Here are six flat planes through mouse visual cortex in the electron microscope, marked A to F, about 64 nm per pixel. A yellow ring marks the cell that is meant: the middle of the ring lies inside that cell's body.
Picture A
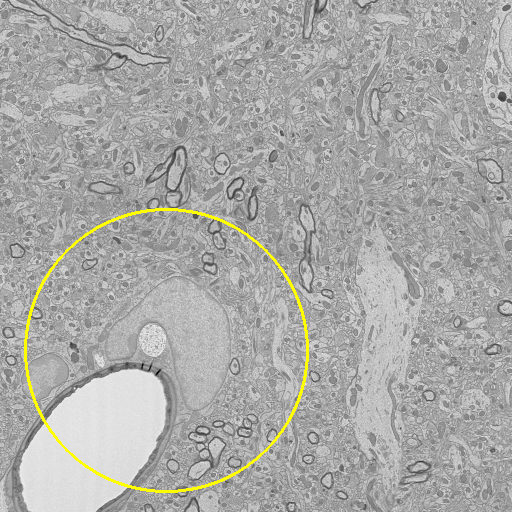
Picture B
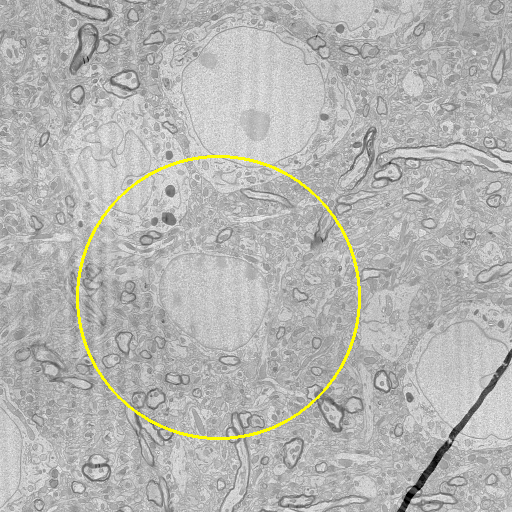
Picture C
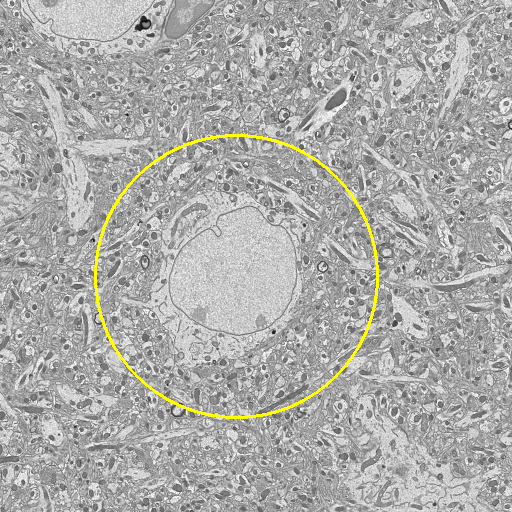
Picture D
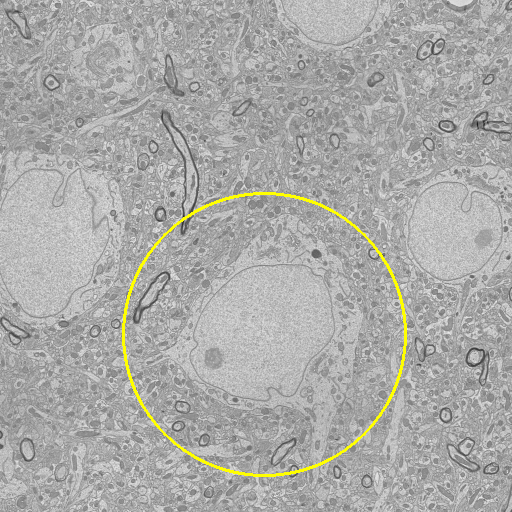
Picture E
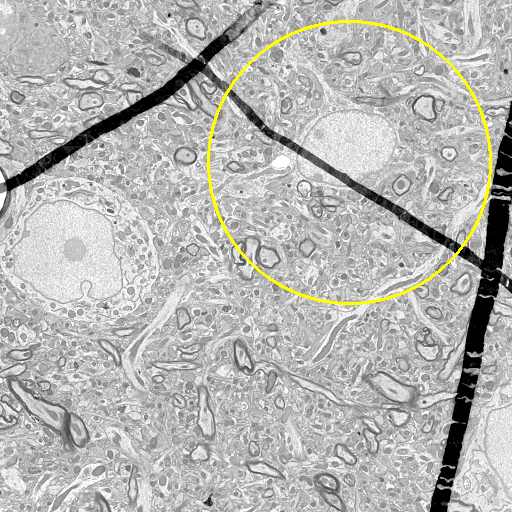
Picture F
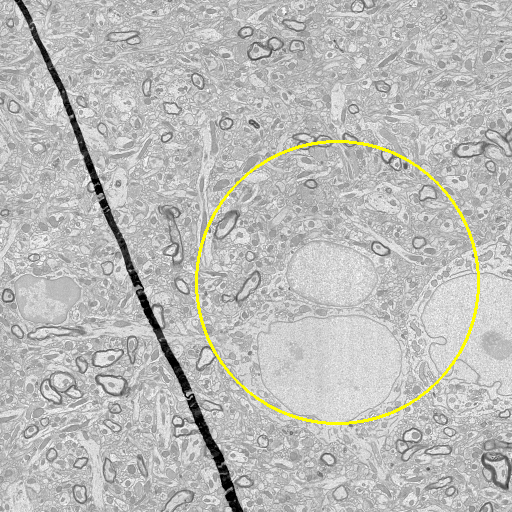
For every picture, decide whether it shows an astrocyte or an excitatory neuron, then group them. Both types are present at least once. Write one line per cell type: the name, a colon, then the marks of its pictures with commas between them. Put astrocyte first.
astrocyte: A, B, E, F
excitatory neuron: C, D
